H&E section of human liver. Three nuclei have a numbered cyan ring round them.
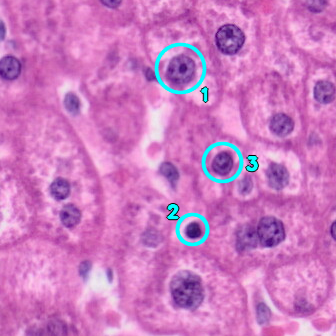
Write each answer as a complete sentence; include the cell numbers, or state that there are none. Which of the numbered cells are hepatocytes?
Identified as hepatocytes are the cells numbered 1 and 3.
